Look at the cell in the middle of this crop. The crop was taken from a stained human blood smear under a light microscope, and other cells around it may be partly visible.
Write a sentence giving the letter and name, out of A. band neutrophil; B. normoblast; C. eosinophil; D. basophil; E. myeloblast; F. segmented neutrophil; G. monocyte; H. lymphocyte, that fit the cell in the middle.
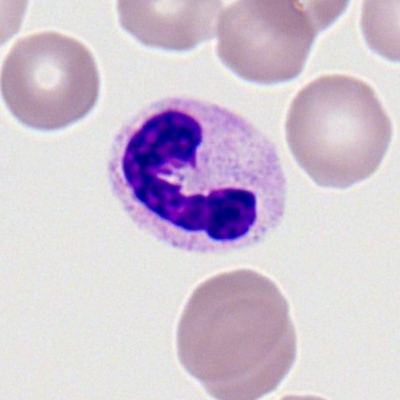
According to option A, which is correct, the cell in the middle is a band neutrophil.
